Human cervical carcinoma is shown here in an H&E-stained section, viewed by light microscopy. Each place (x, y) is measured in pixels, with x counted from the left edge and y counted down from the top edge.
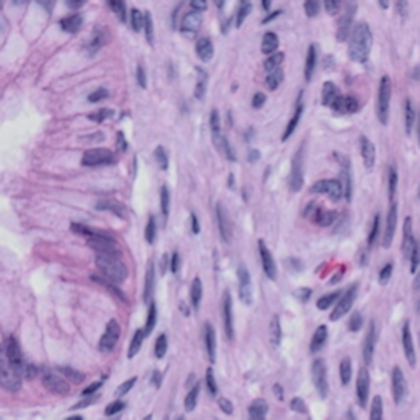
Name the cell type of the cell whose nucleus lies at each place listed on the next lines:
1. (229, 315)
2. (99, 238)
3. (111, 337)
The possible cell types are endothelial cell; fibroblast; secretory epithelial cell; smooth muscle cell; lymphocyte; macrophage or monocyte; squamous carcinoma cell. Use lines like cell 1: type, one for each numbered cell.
cell 1: fibroblast
cell 2: secretory epithelial cell
cell 3: secretory epithelial cell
